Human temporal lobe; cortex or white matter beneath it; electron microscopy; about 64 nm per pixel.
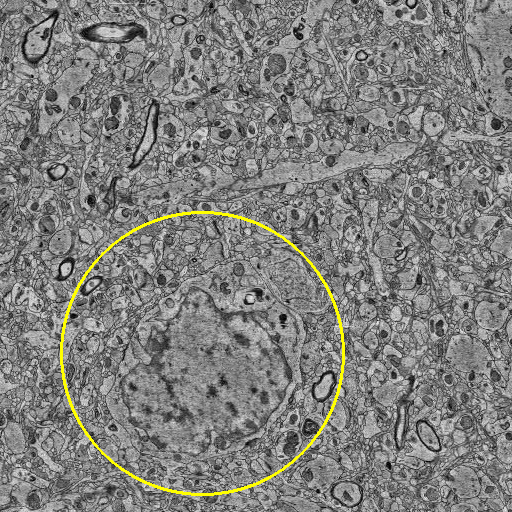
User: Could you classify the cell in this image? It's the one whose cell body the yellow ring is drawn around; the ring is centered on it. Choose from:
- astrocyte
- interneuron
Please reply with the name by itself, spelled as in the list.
interneuron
